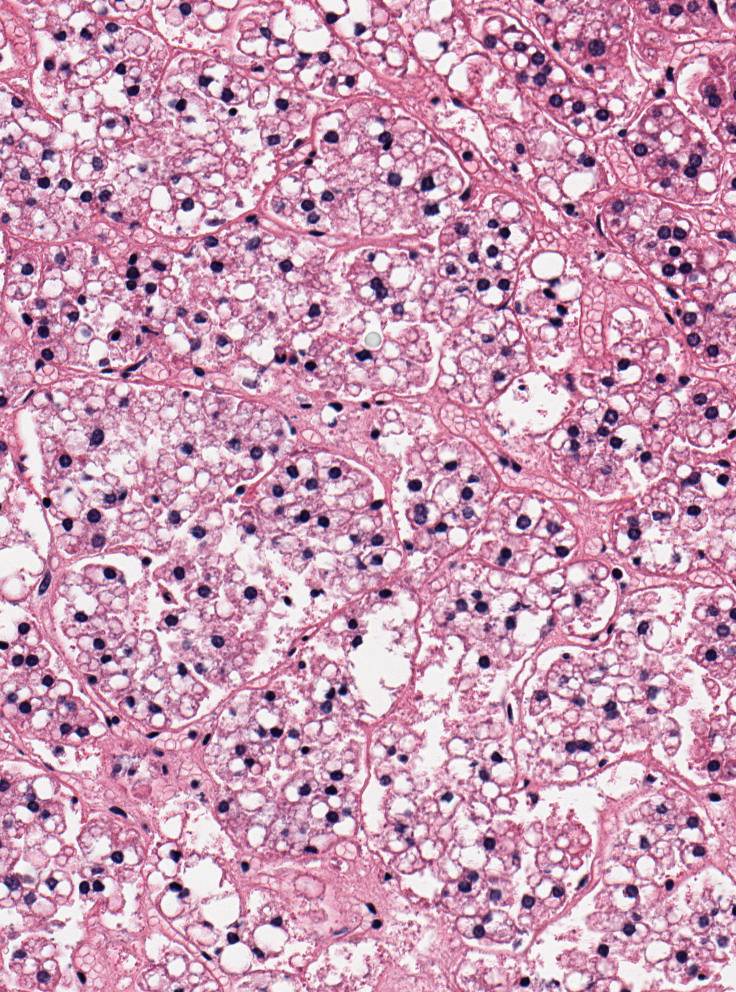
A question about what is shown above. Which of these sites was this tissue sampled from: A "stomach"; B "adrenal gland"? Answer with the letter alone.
B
